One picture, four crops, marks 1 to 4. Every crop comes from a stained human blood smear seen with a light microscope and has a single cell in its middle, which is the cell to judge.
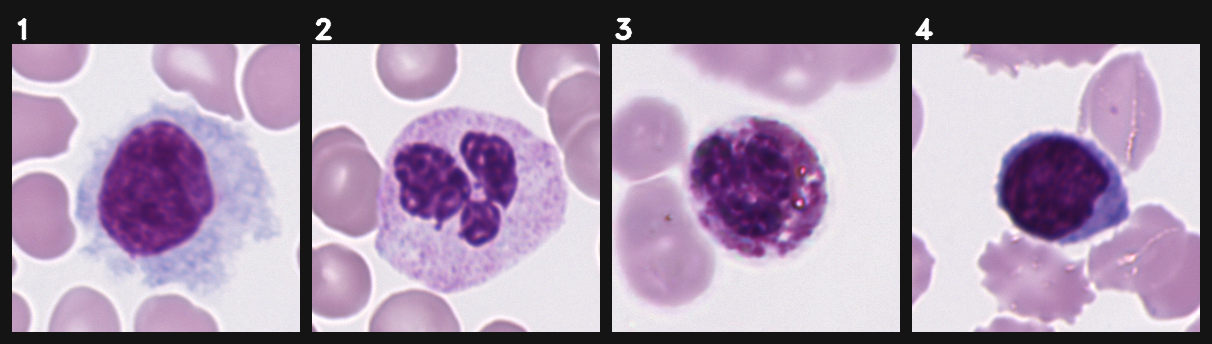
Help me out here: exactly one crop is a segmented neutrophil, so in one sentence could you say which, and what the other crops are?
In short, crop 2 is a segmented neutrophil, and crop 1 is a hairy cell, crop 3 is an eosinophil and crop 4 is a typical lymphocyte.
